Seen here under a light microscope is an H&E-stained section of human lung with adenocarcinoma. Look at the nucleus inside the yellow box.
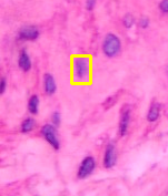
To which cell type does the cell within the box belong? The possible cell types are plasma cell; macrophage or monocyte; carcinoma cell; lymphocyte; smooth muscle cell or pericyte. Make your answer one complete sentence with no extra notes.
The expected answer is simply that the cell within the box is a smooth muscle cell or pericyte.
